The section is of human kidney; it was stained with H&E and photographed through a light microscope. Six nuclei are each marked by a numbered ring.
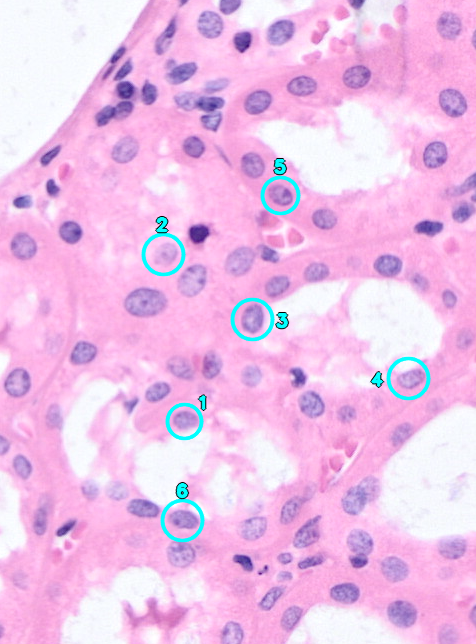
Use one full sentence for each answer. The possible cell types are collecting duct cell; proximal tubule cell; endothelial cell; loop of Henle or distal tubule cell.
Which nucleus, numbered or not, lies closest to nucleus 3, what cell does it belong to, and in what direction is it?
It is a loop of Henle or distal tubule cell, whose nucleus lies above and to the right of nucleus 3.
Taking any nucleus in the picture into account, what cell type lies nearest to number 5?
The nearest nucleus to number 5 belongs to an endothelial cell.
